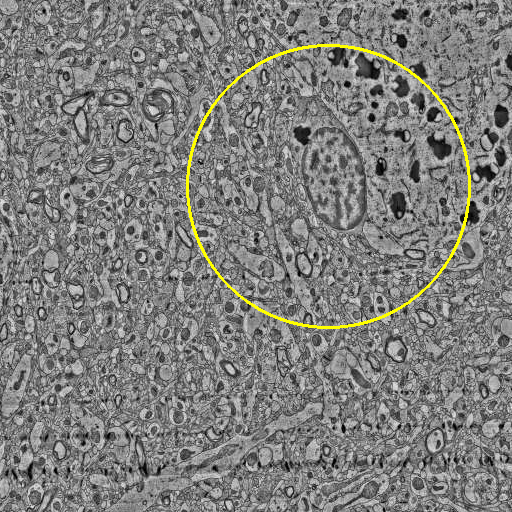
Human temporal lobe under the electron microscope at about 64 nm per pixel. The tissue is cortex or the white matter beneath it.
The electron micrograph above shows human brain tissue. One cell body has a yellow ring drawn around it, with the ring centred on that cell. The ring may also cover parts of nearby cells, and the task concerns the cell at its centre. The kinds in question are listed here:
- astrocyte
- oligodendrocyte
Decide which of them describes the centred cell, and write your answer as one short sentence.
The centred cell is an oligodendrocyte.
